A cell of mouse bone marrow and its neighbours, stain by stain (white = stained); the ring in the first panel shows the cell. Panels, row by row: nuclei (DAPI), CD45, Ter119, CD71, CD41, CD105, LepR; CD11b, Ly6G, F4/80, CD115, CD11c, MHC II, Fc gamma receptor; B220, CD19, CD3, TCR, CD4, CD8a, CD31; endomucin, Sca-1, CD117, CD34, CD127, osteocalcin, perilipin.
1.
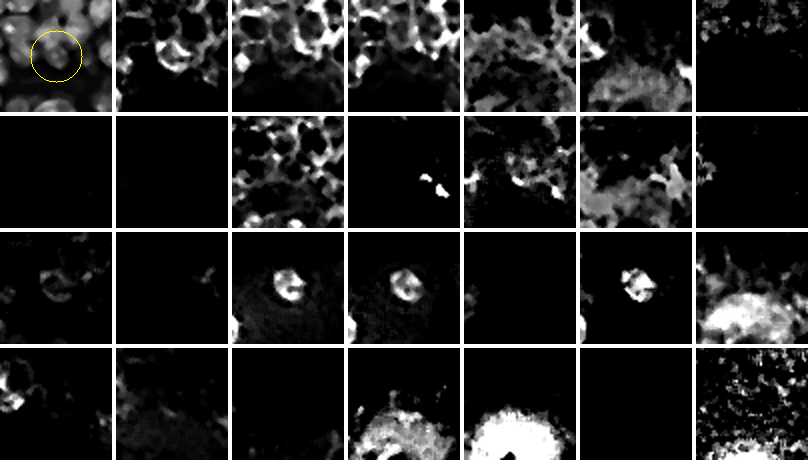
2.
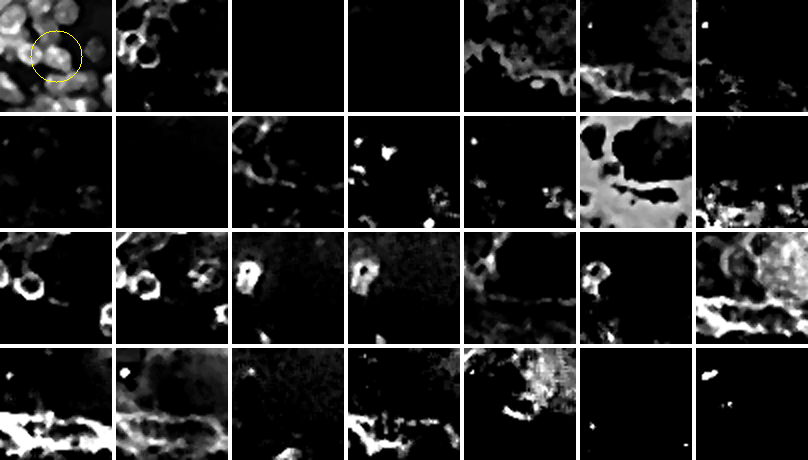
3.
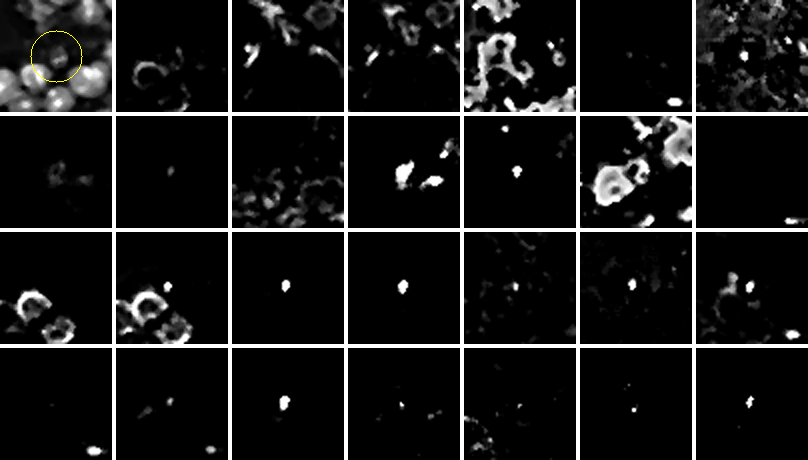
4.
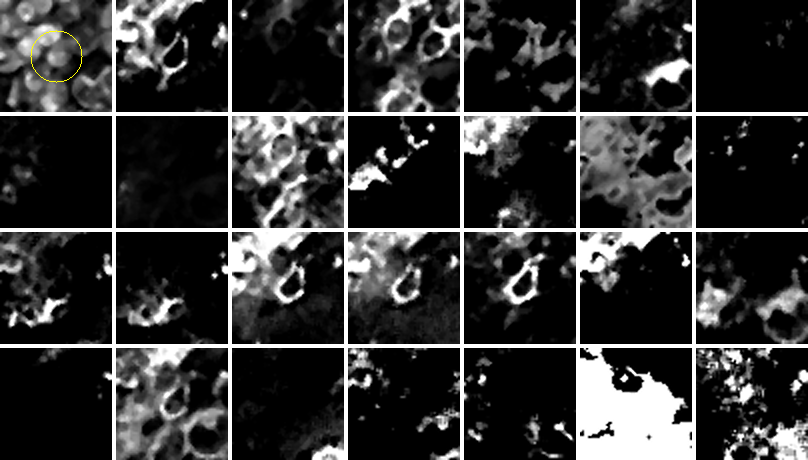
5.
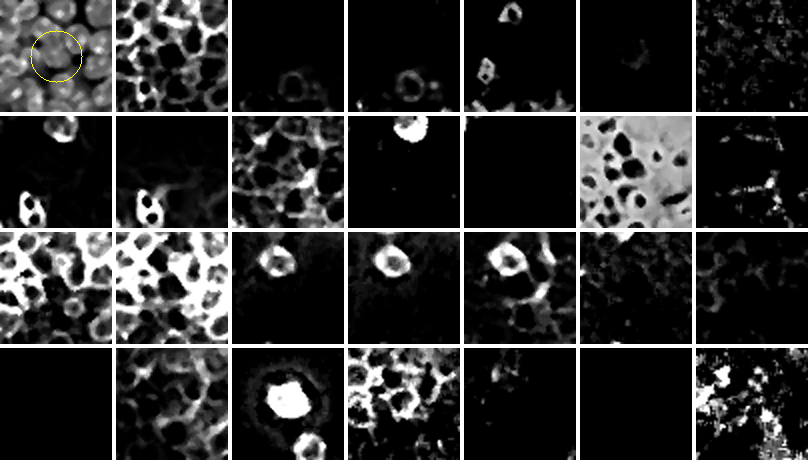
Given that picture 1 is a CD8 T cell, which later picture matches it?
3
